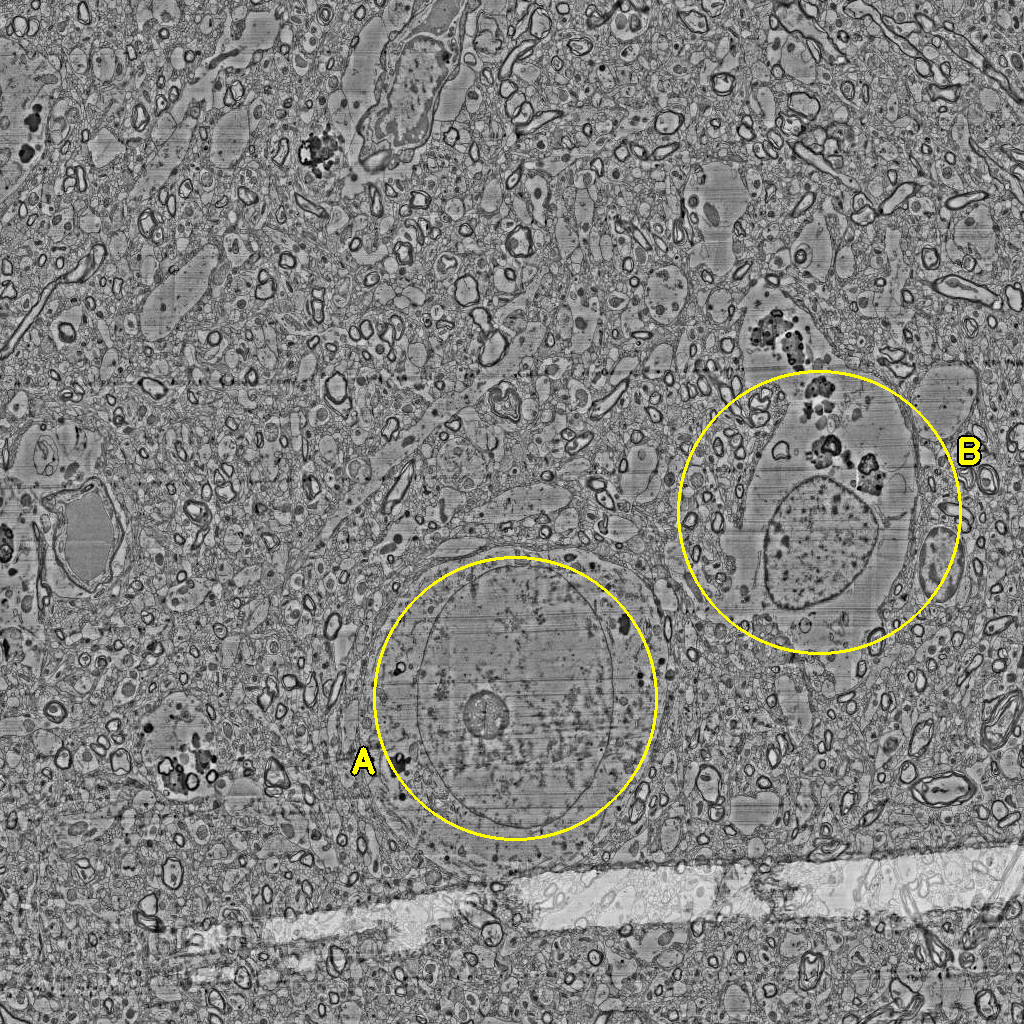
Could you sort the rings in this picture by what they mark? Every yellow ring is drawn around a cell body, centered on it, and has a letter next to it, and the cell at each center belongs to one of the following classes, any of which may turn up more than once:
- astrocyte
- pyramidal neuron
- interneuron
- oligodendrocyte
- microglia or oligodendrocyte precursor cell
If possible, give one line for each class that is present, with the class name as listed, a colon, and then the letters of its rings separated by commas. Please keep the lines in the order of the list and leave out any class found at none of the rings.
astrocyte: B
pyramidal neuron: A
